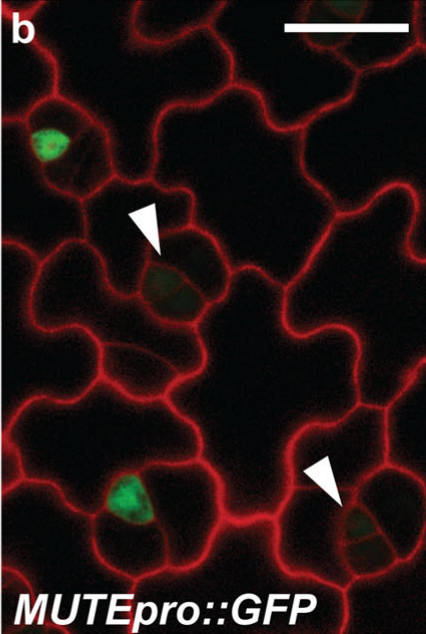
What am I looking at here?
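This view of leaf epidermis shows large pavement cells and small meristemoids. The pavement cells have red outlines with wavy, lobed walls that interlock like jigsaw pieces. Scattered among them are much smaller cells, several roughly triangular or lens-shaped, tucked into the angles between larger neighbours. Two of these small cells are filled with bright green fluorescence. Other small cells, pointed out by arrowheads, show only a faint green tint or none. No mature stomatal pores are visible in the field.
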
